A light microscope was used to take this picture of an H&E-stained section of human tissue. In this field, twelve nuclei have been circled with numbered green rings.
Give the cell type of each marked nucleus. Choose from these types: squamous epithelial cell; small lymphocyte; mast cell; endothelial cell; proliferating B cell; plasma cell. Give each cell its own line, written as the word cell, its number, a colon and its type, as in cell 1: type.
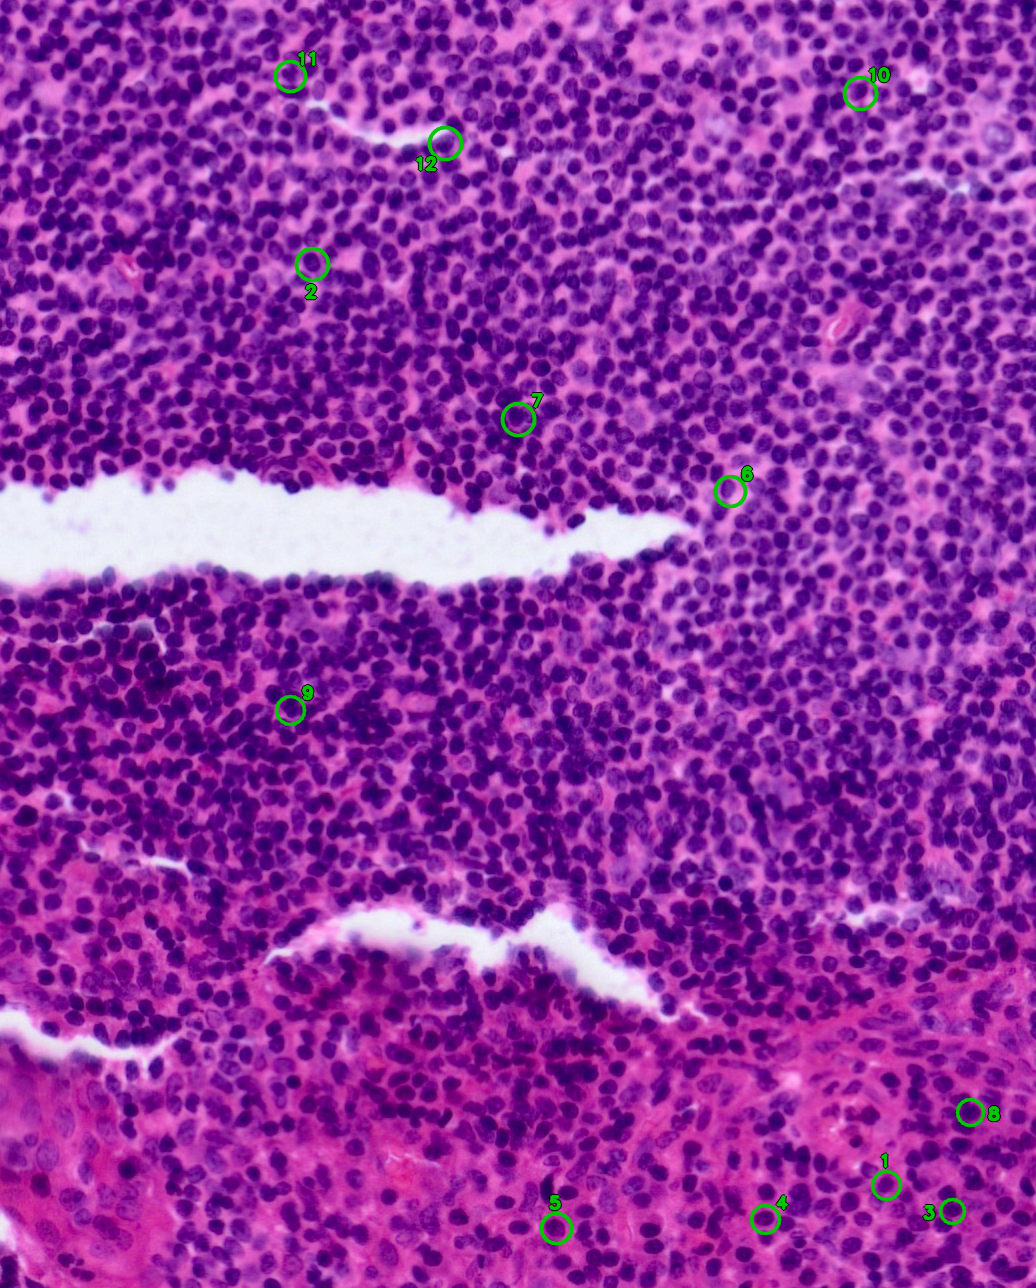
cell 1: plasma cell
cell 2: small lymphocyte
cell 3: plasma cell
cell 4: plasma cell
cell 5: plasma cell
cell 6: small lymphocyte
cell 7: small lymphocyte
cell 8: plasma cell
cell 9: small lymphocyte
cell 10: small lymphocyte
cell 11: small lymphocyte
cell 12: small lymphocyte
